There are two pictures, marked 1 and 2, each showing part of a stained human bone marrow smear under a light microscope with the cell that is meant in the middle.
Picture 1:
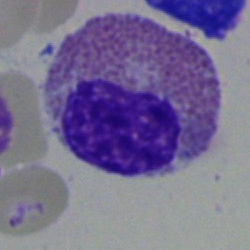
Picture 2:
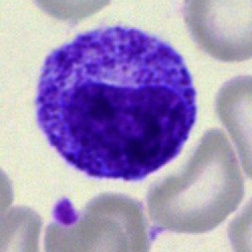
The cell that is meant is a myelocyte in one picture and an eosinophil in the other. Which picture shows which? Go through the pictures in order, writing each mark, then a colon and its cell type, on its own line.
1: eosinophil
2: myelocyte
